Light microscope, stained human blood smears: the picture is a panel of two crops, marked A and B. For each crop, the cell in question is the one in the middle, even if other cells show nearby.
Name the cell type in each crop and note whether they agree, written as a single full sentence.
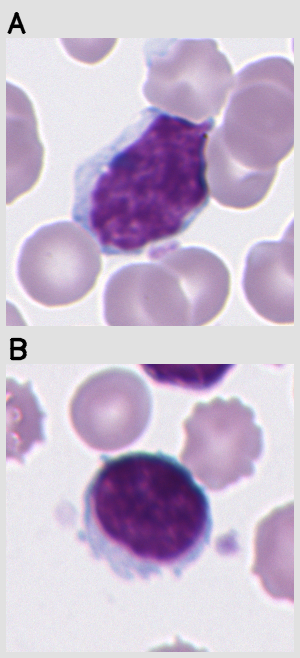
Yes, both crops show typical lymphocytes in the middle.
